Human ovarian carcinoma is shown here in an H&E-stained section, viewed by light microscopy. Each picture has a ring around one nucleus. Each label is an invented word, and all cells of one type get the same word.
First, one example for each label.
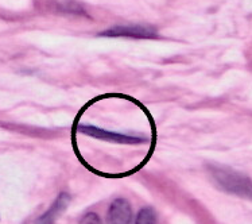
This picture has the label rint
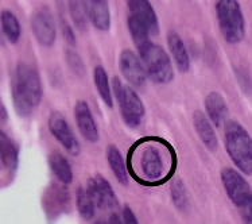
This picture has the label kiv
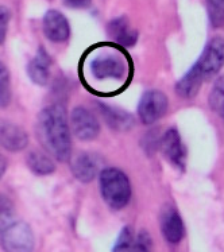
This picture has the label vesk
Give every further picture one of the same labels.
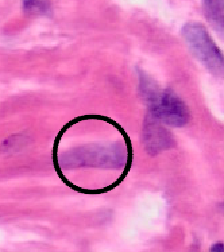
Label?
rint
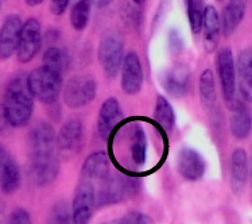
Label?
vesk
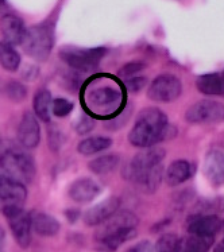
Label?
vesk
